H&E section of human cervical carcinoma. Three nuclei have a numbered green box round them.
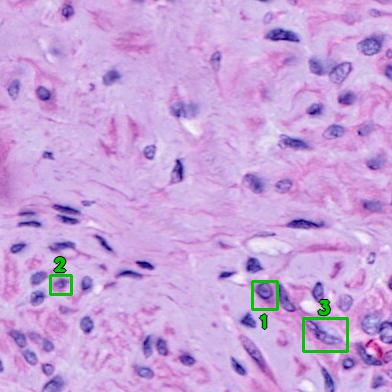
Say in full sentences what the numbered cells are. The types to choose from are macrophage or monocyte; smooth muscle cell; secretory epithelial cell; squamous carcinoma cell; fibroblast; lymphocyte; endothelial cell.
Cells 1 and 2 are smooth muscle cells. Cell 3 is an endothelial cell.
